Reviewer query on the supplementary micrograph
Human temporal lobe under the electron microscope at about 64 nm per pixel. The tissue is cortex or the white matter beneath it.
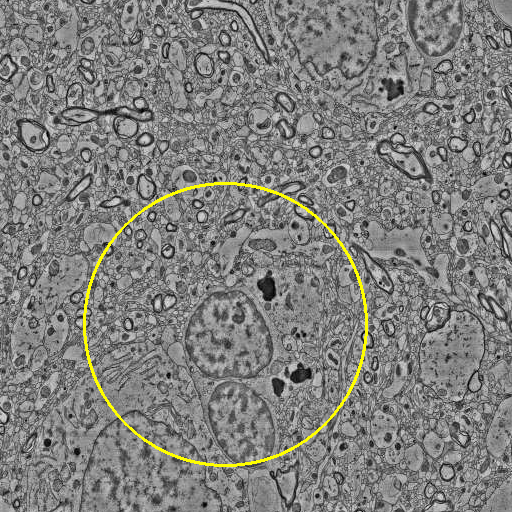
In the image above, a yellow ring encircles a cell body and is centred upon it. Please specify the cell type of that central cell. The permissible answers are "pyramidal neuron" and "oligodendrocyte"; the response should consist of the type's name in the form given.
oligodendrocyte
